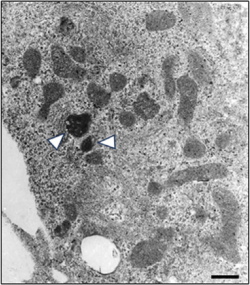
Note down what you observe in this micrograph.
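Most are oval to elongated, moderately dense, and some show faint internal cristae. Among them are a few small, very dark, condensed organelles with angular or irregular outlines, which stand out from the rest. The cytoplasm around them is finely granular. A pale, rounded, empty-looking space lies near the lower edge of the field. A large clear area bordering the cell is visible at the left margin.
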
